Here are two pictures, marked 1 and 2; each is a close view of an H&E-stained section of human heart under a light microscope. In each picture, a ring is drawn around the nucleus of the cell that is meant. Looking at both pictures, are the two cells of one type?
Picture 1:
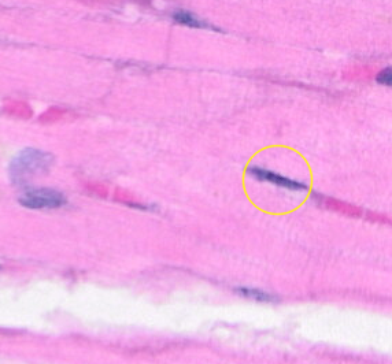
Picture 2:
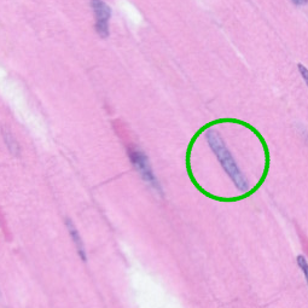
no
